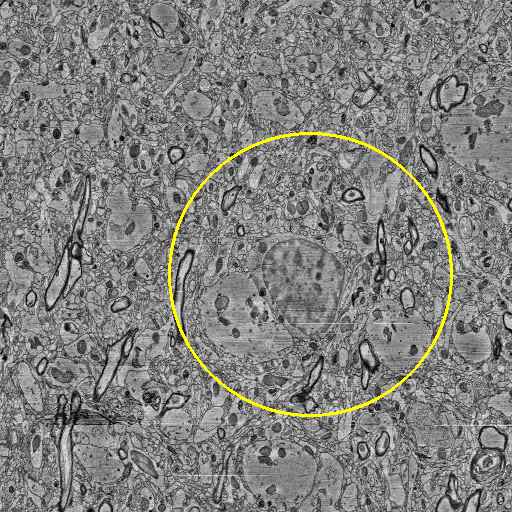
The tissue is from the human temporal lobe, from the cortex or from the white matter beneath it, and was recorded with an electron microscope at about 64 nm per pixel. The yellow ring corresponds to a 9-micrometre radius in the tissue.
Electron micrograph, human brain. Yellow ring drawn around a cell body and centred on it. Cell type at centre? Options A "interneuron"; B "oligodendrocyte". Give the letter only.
B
